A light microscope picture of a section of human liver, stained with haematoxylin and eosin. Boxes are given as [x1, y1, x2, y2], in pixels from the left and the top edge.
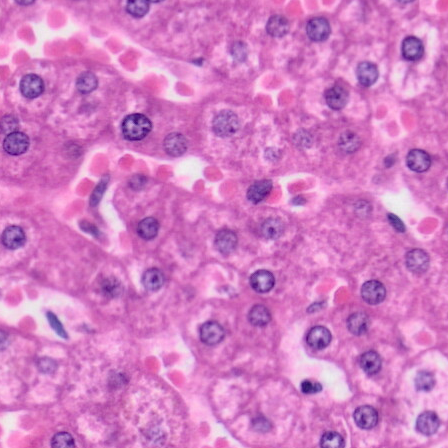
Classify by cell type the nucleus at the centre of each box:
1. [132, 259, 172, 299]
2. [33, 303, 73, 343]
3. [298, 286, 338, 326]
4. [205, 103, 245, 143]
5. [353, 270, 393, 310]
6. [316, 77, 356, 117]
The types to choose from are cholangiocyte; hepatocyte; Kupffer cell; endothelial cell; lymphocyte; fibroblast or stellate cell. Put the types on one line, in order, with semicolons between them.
hepatocyte; lymphocyte; Kupffer cell; hepatocyte; hepatocyte; hepatocyte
